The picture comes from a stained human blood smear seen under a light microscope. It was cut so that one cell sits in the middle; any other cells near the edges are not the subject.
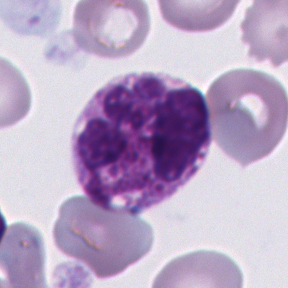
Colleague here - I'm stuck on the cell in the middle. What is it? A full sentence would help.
The cell of interest, in the center, is a basophil.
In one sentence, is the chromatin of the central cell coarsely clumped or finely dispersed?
Just so you know, its chromatin is coarsely clumped.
